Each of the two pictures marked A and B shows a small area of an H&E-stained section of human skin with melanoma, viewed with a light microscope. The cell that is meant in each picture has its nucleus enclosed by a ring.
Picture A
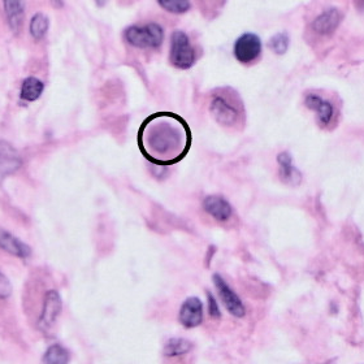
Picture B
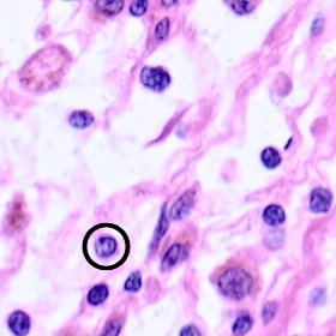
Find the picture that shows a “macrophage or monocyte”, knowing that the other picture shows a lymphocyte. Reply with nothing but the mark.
A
